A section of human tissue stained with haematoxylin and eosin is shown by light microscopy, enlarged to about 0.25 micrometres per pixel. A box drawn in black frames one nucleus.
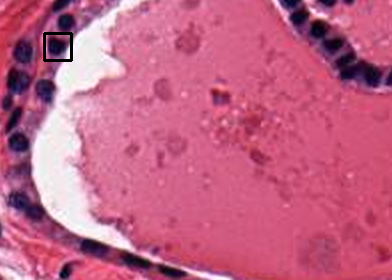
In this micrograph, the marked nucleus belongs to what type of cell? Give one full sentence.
It is a thyroid follicular cell that the marked nucleus belongs to.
